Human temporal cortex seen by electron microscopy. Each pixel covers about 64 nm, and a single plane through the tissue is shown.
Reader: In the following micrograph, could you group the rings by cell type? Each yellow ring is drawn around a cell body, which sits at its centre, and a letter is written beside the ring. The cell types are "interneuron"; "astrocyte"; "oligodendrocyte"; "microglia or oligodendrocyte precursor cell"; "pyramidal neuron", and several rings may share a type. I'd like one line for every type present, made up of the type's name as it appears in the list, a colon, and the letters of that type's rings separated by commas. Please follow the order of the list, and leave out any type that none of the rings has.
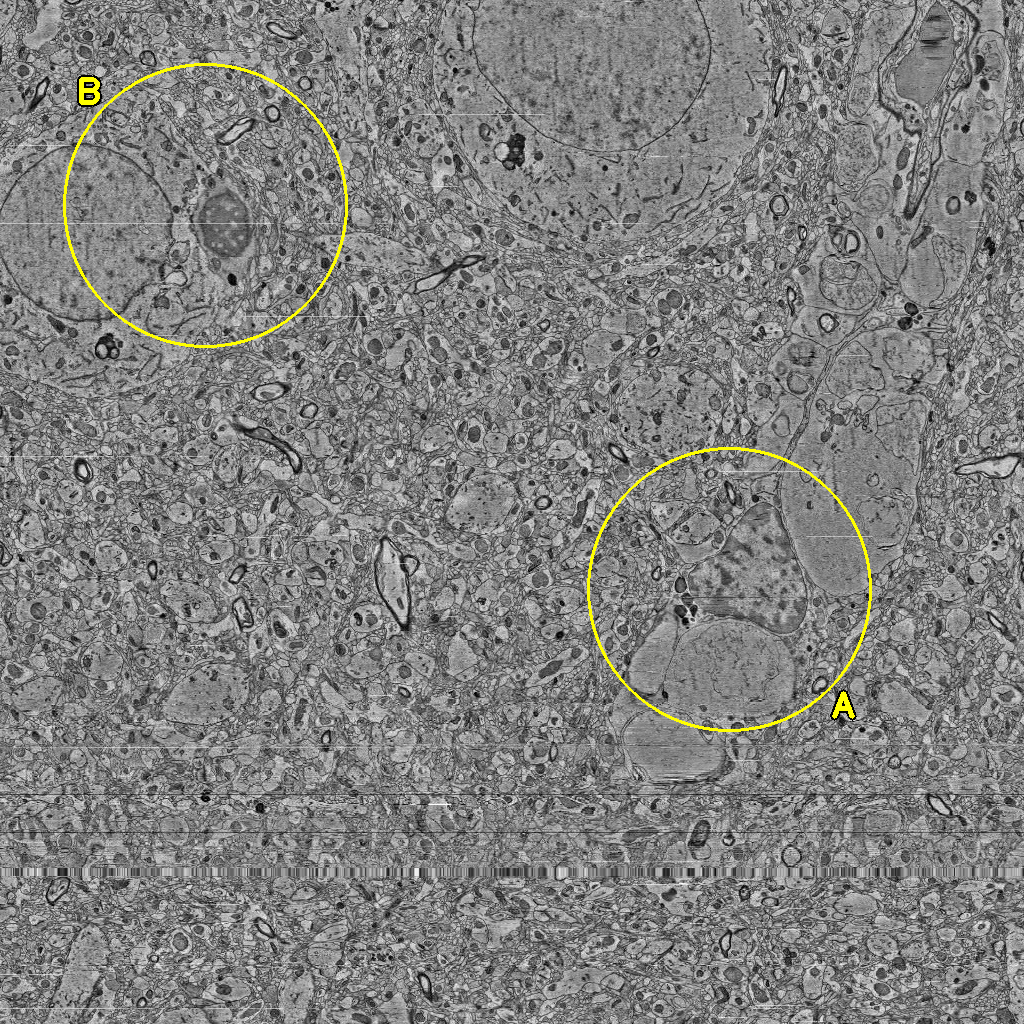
oligodendrocyte: B
microglia or oligodendrocyte precursor cell: A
